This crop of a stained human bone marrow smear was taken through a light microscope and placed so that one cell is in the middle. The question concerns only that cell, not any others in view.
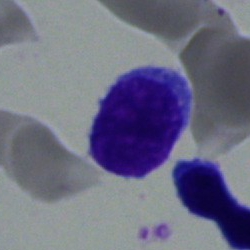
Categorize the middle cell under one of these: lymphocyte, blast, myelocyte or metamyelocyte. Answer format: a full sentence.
The cell of interest, in the center, is a lymphocyte.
